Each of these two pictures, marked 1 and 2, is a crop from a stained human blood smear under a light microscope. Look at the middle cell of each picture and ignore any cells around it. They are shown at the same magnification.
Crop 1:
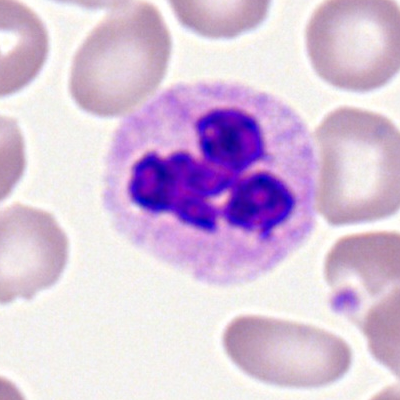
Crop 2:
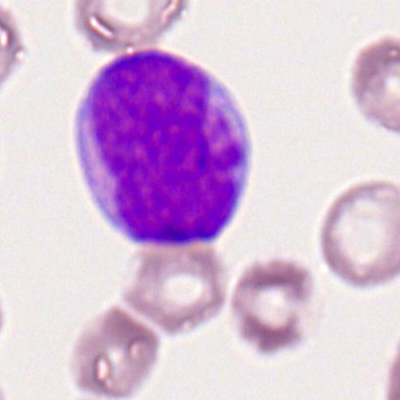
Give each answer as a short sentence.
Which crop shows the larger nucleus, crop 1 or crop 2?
Crop 2 shows the larger nucleus; it covers about 1.5 times the area of the nucleus in crop 1.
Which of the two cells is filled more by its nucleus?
It is the cell in crop 2 that is filled more by its nucleus.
